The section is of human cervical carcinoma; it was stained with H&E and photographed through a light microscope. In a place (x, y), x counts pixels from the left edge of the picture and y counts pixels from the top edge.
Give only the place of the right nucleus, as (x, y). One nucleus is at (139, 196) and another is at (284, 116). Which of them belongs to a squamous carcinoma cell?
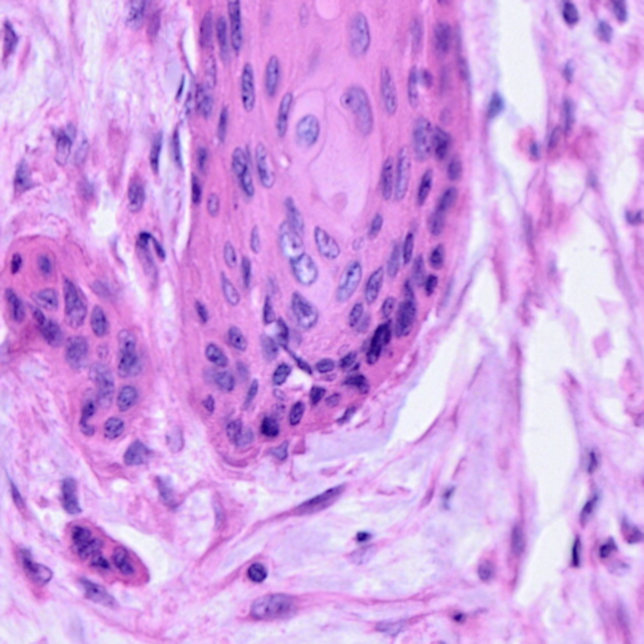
(284, 116)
